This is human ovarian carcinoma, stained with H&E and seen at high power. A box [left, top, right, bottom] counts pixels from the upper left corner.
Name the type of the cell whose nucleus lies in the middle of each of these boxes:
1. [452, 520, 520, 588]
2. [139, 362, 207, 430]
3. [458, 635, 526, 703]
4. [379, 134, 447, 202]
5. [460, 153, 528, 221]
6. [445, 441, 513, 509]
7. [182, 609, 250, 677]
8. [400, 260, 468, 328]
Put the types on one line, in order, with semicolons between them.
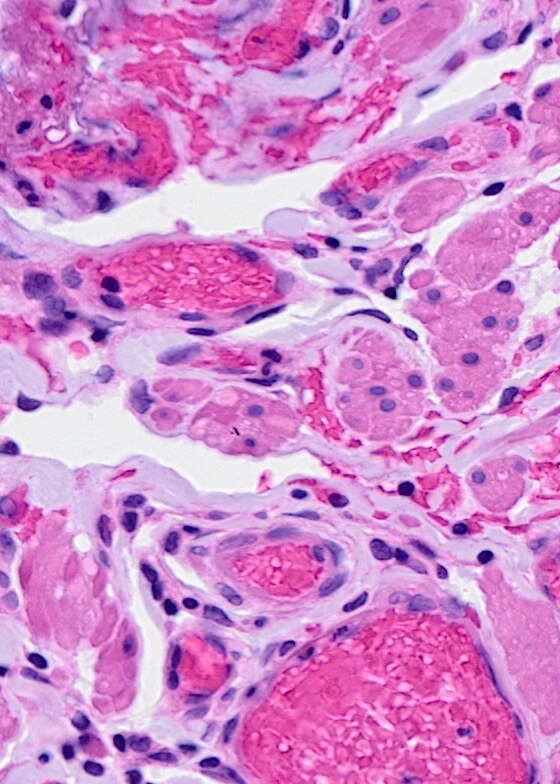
lymphocyte; smooth muscle cell; endothelial cell; endothelial cell; lymphocyte; smooth muscle cell; endothelial cell; smooth muscle cell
